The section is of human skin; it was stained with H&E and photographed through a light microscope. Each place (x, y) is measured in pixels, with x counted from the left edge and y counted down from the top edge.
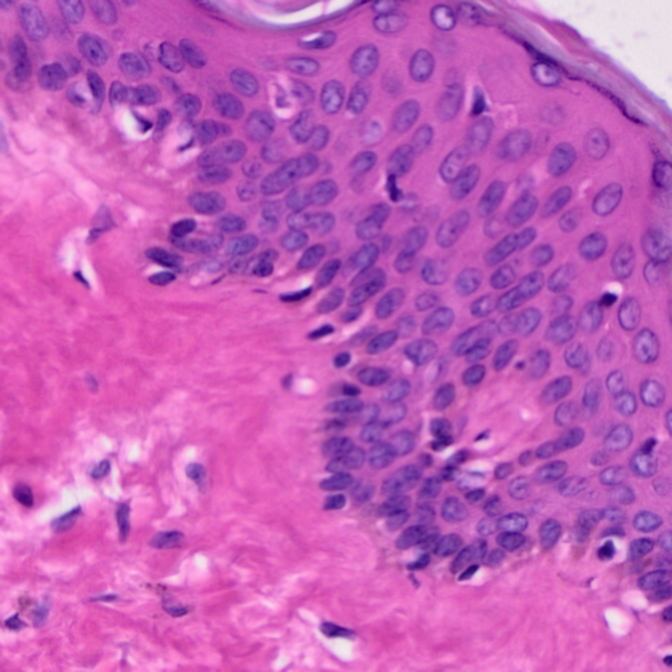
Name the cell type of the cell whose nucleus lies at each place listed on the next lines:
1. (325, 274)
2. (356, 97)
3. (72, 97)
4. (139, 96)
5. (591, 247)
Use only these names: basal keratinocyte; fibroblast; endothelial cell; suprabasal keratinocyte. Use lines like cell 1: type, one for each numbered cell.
cell 1: basal keratinocyte
cell 2: suprabasal keratinocyte
cell 3: basal keratinocyte
cell 4: basal keratinocyte
cell 5: suprabasal keratinocyte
